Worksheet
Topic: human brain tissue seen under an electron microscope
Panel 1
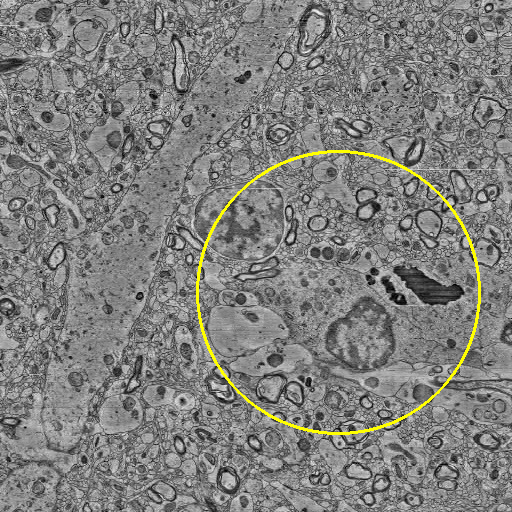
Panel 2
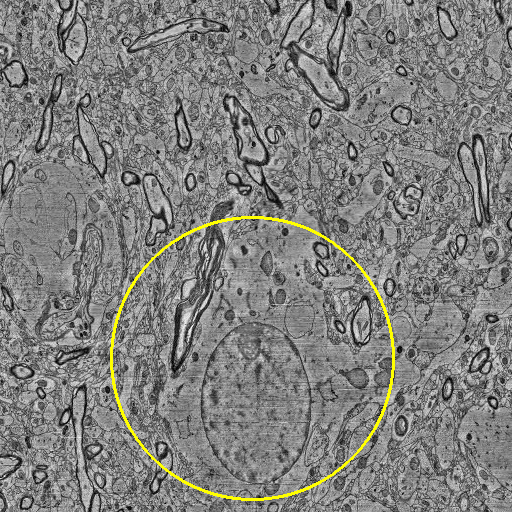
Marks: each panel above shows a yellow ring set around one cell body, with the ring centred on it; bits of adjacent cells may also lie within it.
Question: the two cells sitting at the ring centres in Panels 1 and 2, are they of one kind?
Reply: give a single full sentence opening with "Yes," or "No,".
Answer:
No, the two ring-centre cells in Panel 1 and Panel 2 are of two kinds.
